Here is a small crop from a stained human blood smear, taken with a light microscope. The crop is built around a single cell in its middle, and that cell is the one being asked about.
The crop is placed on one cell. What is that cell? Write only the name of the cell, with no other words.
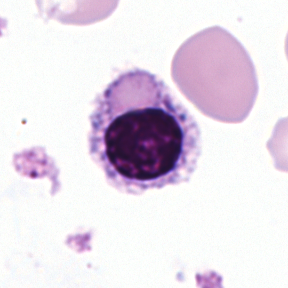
erythroblast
